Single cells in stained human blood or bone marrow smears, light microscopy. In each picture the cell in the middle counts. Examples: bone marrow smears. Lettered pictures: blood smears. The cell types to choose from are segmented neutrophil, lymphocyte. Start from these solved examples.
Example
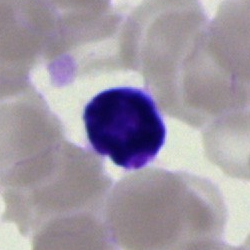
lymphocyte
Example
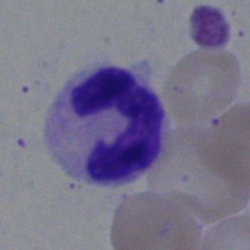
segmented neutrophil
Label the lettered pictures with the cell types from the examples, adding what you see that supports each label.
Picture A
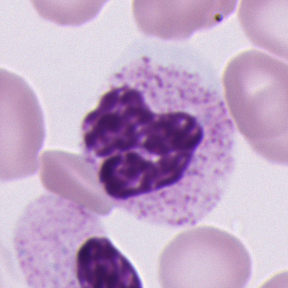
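segmented neutrophil. The cytoplasm is abundant and pale.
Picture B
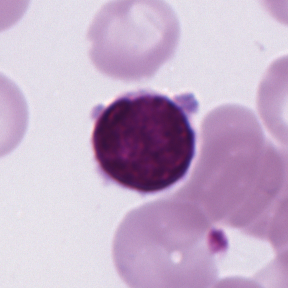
lymphocyte. Only a very thin, pale rim of cytoplasm shows around the nucleus.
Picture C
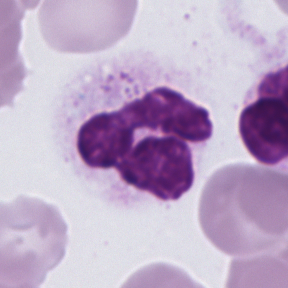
segmented neutrophil. The cytoplasm is very pale, nearly colourless lilac.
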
